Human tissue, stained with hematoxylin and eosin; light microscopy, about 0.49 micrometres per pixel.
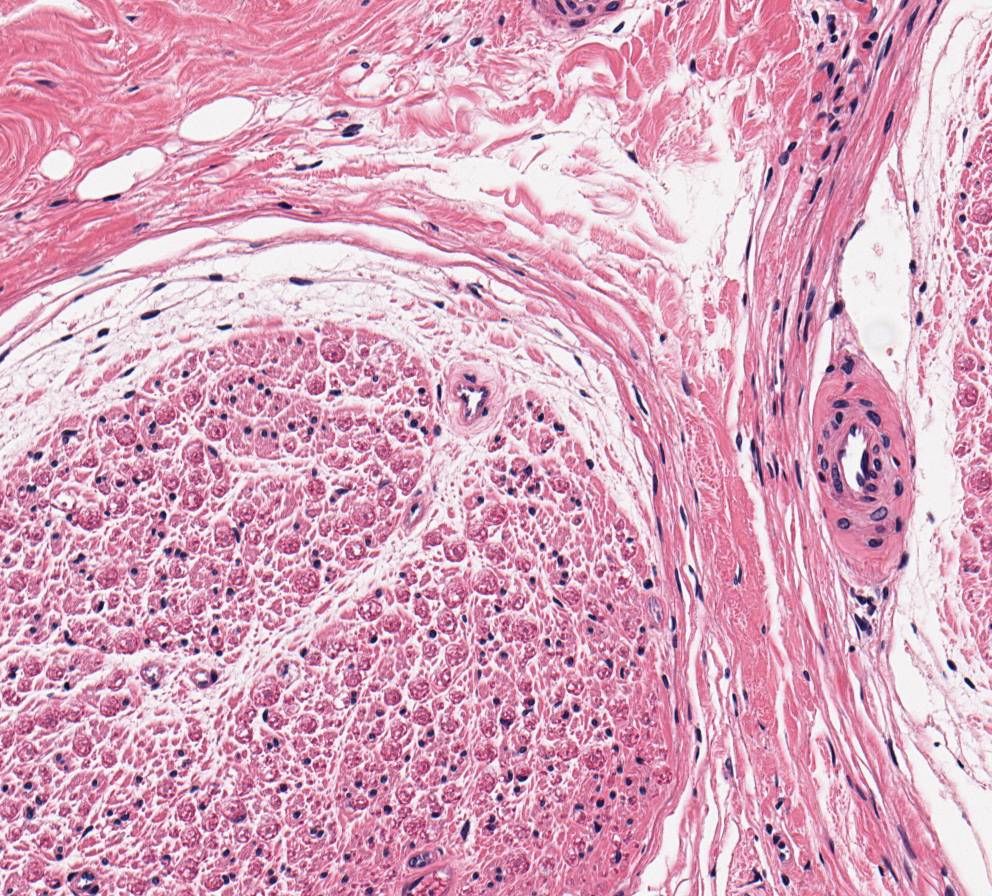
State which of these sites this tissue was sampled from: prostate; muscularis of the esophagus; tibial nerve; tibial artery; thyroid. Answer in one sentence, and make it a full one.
What this section contains is tissue from the tibial nerve.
